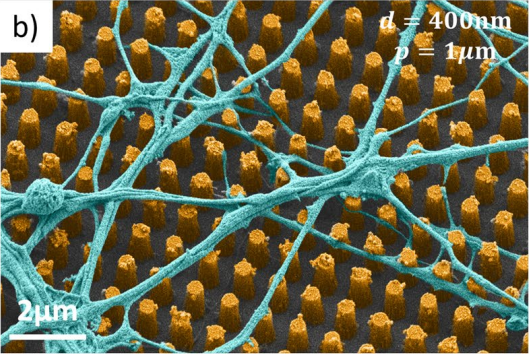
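Neuronal processes crossing a densely packed regular array of upright pillars. Neurites, thick and thin, run in several directions and bundle together where they meet, forming branching cables. They are suspended across the pillar tops rather than descending to the floor between them; some thin branches drape down onto individual pillars. A rounded swelling sits on one bundle at the left. The neurite surfaces look granular. The pillars are slightly tapered cylinders with rough tops, spaced in a lattice across the field.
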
